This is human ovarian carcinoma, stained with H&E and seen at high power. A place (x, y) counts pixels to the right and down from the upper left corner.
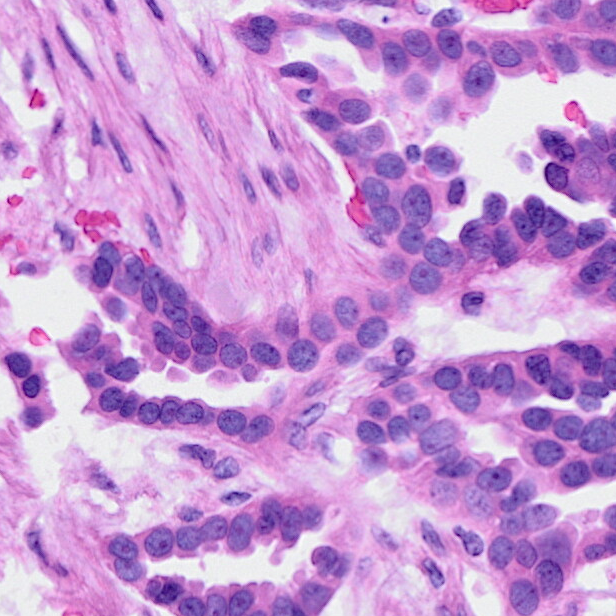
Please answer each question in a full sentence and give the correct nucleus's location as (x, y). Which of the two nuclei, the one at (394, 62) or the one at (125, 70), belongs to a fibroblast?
The nucleus whose cell is a fibroblast is the one at (125, 70).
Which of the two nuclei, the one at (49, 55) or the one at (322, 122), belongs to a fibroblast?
The nucleus that belongs to a fibroblast sits at (49, 55).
